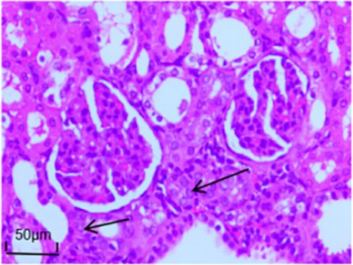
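This is renal cortex in which two glomeruli sit side by side, each a rounded tuft of capillaries and nuclei inside a clear Bowman's space. Between them and the surrounding tubules the interstitium is widened and packed with many small, dark, round nuclei, an infiltrate of inflammatory cells. Several tubules at the edges have wide, empty lumens lined by thin, flattened epithelium. Compared with normal cortex, the tubules are no longer tightly packed against each other but are pushed apart by the cellular interstitium.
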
